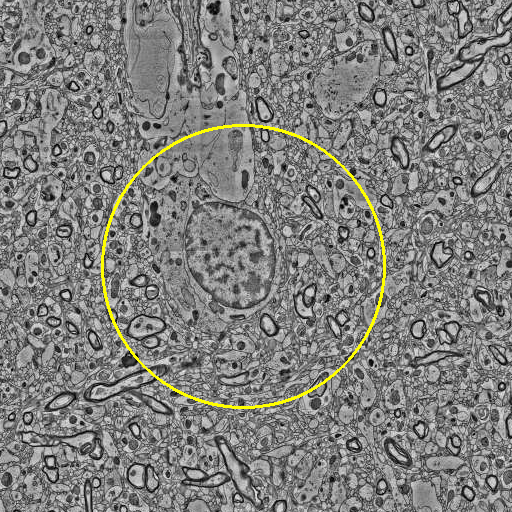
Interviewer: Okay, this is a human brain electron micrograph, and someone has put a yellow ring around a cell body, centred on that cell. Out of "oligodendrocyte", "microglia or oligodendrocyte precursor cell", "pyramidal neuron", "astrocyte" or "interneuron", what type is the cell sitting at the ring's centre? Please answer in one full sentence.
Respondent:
The cell at the centre of the yellow ring in this picture is an oligodendrocyte.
